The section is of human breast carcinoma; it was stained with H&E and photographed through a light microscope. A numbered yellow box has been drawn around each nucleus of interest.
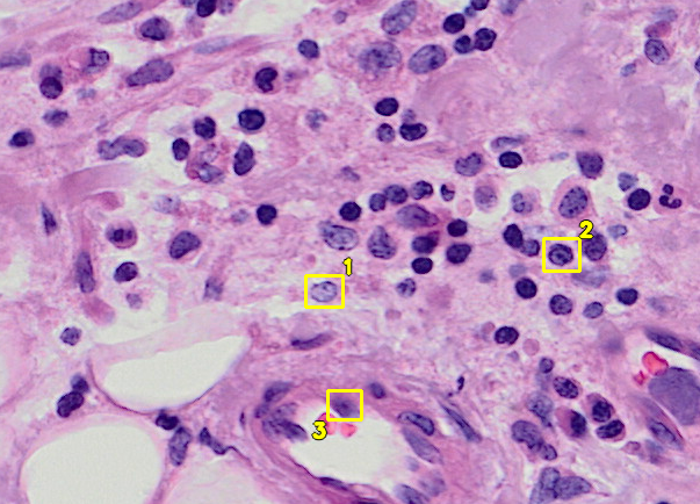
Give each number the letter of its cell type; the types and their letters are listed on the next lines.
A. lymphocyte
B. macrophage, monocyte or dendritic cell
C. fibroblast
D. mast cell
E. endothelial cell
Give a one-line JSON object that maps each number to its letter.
{"1": "B", "2": "A", "3": "E"}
